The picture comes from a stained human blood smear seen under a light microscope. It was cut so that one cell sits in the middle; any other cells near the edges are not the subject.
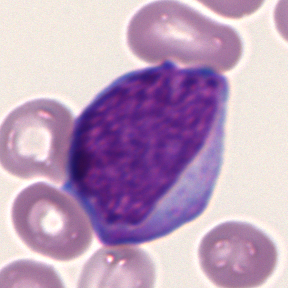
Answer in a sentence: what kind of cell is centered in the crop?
This crop is built around an atypical promyelocyte at its centre.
